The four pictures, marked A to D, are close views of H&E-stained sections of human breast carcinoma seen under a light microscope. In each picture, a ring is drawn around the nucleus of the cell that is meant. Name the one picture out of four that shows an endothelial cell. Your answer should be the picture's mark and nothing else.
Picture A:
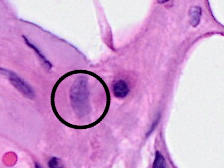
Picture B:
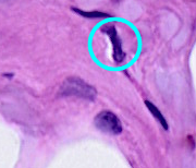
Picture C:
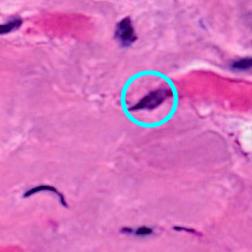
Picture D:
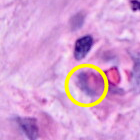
D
